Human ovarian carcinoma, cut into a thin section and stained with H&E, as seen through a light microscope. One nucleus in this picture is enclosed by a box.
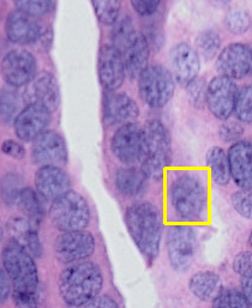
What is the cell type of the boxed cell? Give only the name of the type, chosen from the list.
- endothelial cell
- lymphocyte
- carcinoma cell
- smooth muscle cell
carcinoma cell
